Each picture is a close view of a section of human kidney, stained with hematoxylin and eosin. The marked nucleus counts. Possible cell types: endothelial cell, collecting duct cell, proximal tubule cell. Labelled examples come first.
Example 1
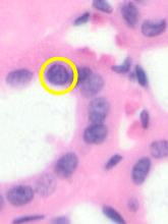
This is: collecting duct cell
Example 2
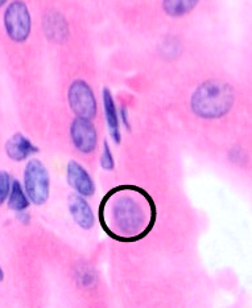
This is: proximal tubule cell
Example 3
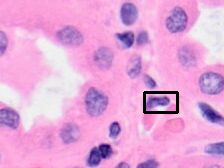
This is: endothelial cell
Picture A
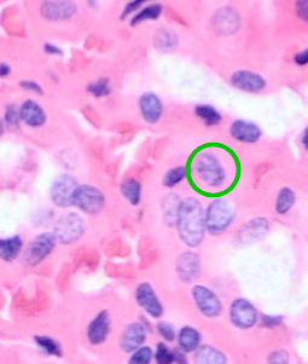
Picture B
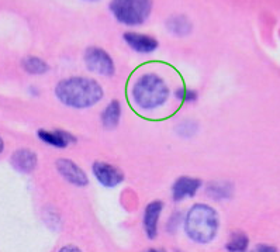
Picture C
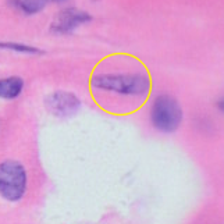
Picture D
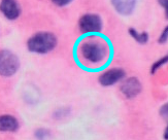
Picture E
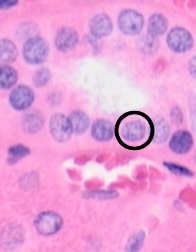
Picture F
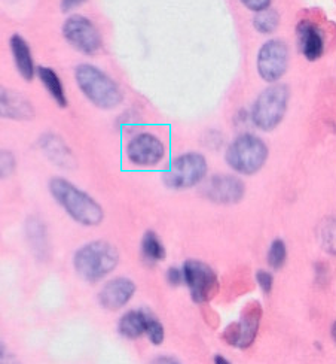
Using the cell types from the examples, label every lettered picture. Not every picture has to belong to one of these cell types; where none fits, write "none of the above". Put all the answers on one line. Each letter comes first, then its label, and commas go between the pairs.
A collecting duct cell, B collecting duct cell, C collecting duct cell, D none of the above, E collecting duct cell, F collecting duct cell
